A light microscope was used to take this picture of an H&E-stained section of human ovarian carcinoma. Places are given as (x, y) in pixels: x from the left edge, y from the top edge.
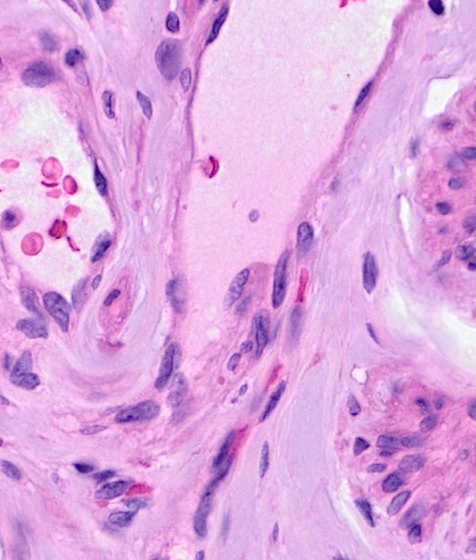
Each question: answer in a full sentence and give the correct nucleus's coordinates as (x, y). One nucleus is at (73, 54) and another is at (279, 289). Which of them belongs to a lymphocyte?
The nucleus that belongs to a lymphocyte is located at (73, 54).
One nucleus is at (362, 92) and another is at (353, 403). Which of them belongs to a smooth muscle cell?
Here the nucleus at (353, 403) is the one that belongs to a smooth muscle cell.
